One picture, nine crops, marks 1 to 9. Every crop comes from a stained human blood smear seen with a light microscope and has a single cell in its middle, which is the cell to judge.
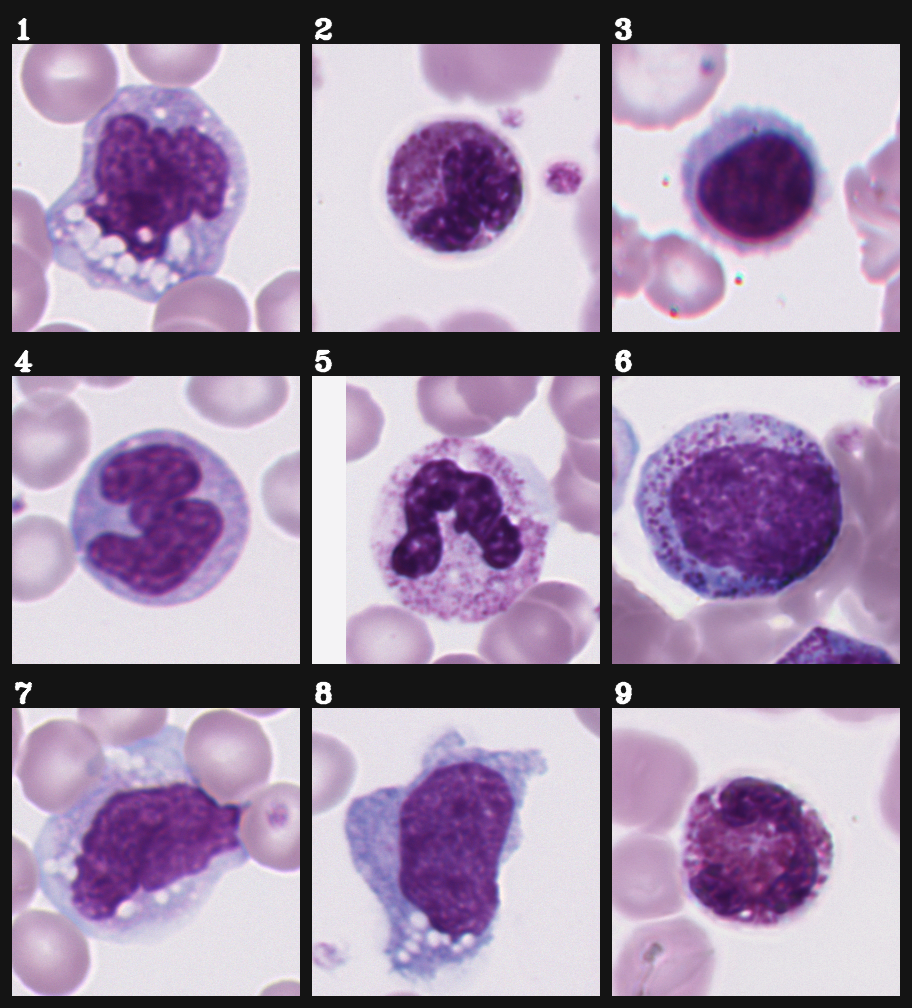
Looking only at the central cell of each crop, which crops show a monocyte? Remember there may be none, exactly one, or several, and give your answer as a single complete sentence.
The centred cells of crops 1, 4, 7 and 8 are monocytes.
